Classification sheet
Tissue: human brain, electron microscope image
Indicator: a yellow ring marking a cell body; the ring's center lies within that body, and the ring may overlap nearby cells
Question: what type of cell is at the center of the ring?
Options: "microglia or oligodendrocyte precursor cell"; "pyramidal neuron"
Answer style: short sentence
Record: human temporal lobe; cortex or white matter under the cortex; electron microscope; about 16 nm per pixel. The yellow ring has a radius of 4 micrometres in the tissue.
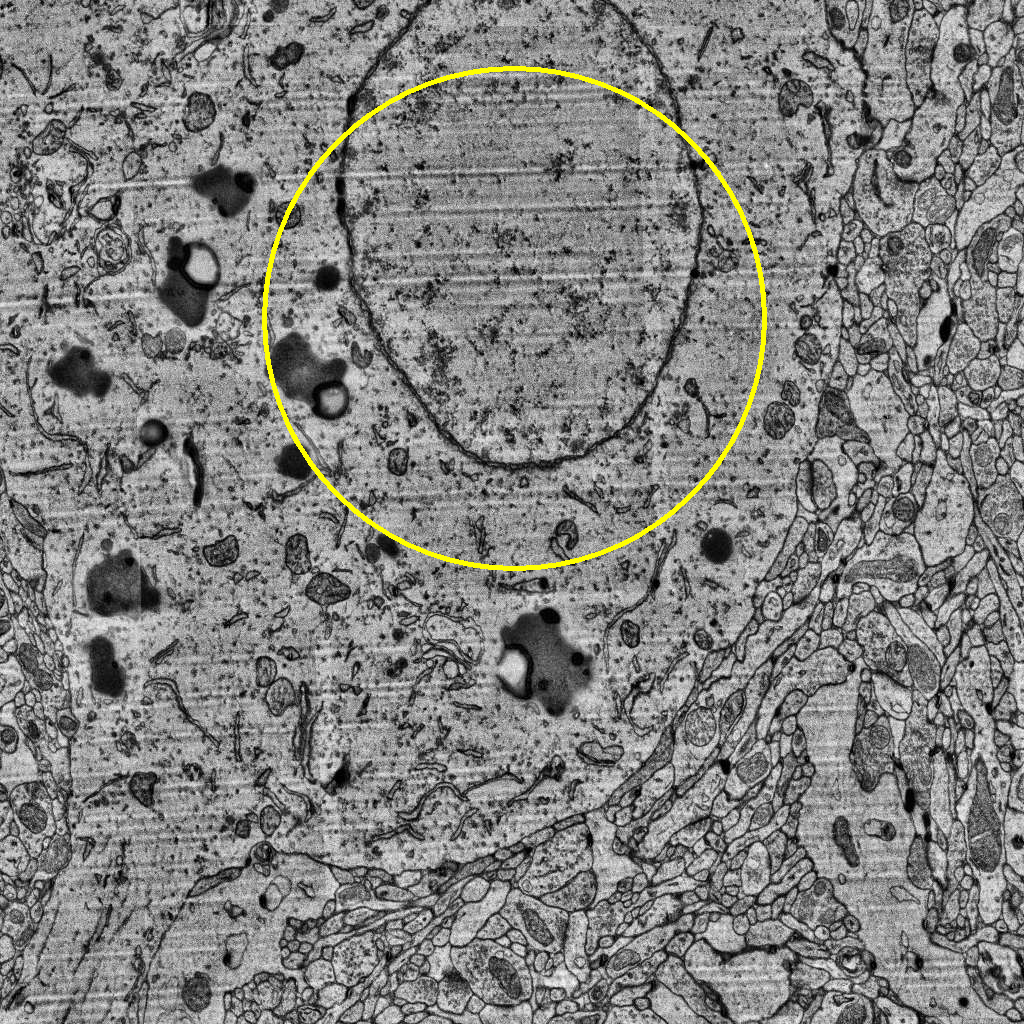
At the ring's center is a pyramidal neuron.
